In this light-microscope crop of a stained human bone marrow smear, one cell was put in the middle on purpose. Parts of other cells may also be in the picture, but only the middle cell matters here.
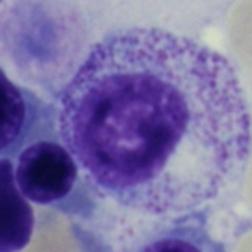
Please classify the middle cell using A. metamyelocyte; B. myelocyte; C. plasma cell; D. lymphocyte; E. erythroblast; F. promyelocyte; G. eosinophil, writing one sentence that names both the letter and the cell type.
It is a myelocyte that occupies the centre of the crop, so option B is correct.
